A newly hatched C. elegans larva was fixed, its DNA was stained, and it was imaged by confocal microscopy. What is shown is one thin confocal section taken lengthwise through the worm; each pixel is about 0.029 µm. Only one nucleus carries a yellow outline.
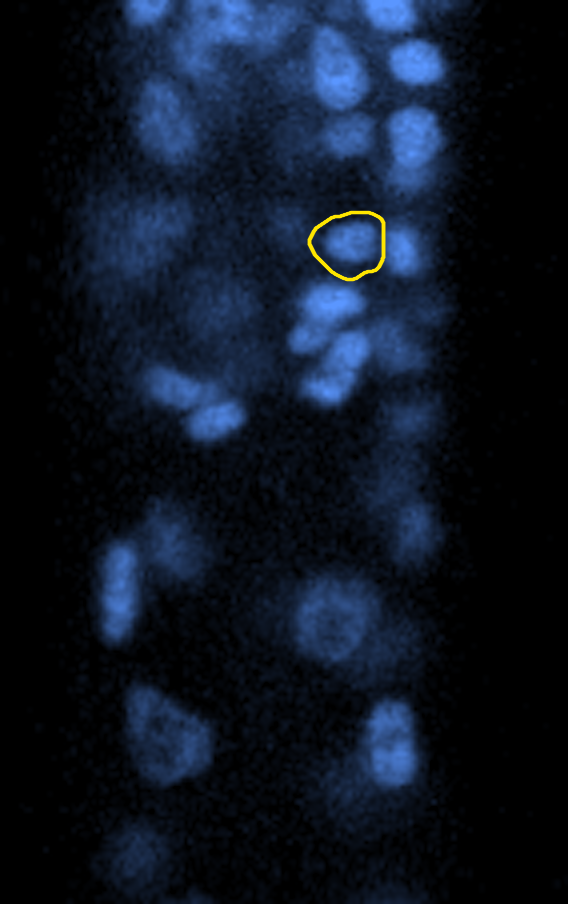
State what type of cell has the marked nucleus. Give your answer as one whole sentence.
What is marked is the nucleus of a pharyngeal marginal cell.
